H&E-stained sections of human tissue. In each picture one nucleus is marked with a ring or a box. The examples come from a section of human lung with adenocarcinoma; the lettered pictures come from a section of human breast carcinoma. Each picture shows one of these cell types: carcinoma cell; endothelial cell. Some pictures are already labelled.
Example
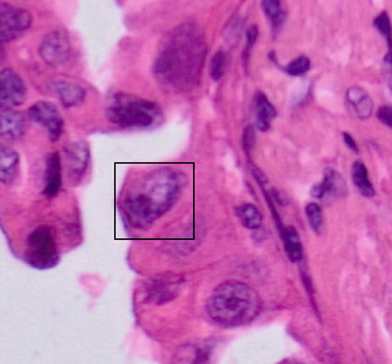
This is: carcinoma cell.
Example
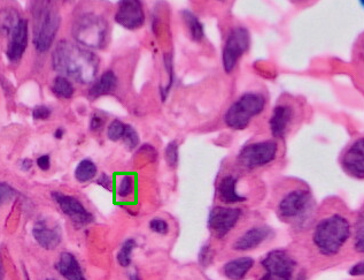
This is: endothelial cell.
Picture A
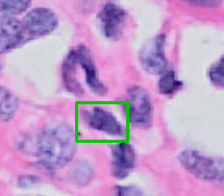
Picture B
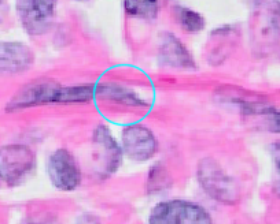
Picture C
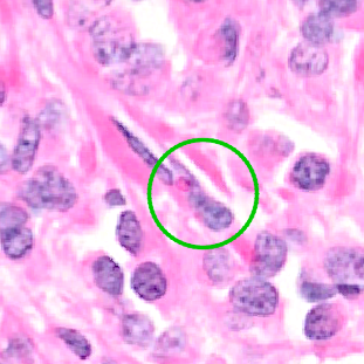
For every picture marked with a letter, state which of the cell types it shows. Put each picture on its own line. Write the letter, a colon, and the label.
A: carcinoma cell.
B: endothelial cell.
C: endothelial cell.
